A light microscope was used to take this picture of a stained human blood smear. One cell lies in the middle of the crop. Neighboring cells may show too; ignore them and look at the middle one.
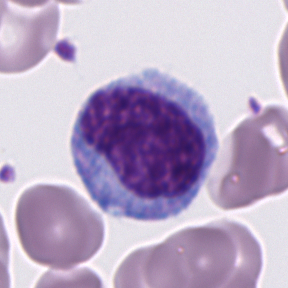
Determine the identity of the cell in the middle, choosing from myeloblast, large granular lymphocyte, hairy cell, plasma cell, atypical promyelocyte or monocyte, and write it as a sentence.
In the middle of this smear crop, the cell is a monocyte.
